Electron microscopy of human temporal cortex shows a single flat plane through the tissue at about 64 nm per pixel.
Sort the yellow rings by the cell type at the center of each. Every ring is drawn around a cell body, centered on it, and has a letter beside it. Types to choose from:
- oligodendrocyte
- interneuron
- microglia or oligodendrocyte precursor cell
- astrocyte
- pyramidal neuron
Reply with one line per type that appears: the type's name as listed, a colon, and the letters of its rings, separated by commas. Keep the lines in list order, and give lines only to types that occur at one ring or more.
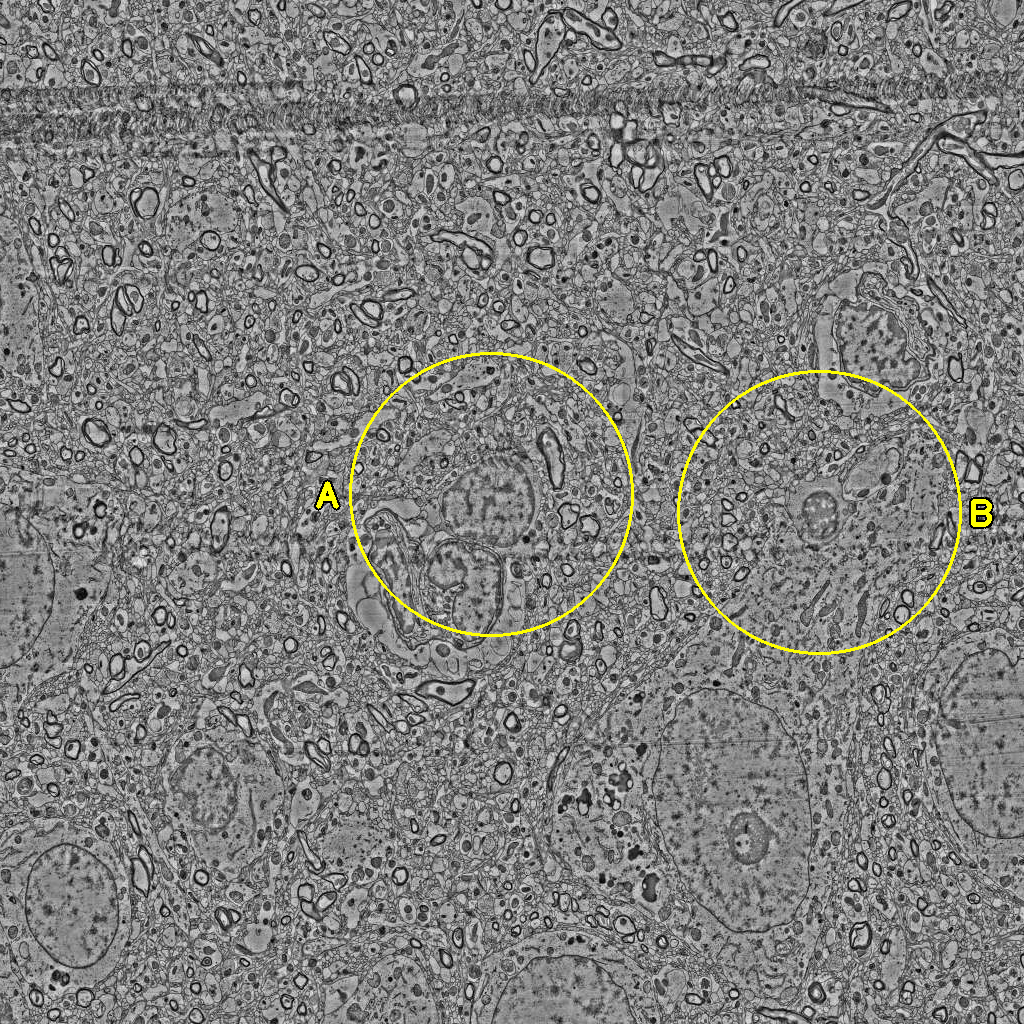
oligodendrocyte: A, B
